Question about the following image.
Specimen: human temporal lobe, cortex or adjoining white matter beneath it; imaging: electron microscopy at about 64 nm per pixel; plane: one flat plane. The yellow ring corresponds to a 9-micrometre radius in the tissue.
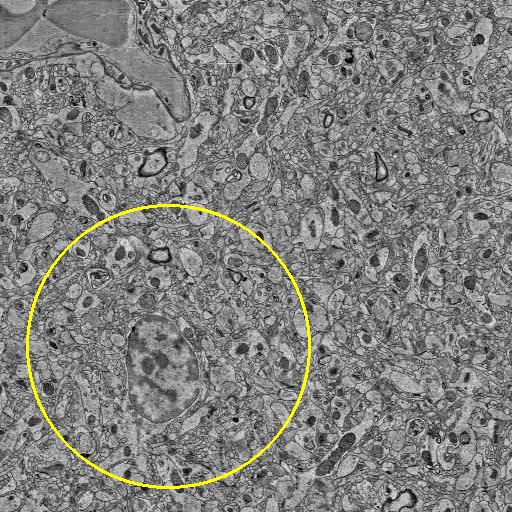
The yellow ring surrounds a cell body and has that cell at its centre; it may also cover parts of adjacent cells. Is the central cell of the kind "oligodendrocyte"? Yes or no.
No, it is of another kind.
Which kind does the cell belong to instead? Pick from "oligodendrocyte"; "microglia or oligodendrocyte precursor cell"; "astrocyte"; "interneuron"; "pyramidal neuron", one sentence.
In this picture, the ring is centred on a microglial cell or oligodendrocyte precursor cell.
